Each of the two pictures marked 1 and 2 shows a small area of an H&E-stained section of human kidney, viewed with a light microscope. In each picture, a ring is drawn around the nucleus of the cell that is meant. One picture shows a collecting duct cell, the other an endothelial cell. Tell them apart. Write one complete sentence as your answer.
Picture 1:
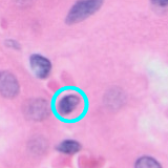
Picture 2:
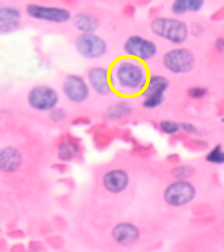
The cell in picture 1 is an endothelial cell, and the one in picture 2 is a collecting duct cell.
